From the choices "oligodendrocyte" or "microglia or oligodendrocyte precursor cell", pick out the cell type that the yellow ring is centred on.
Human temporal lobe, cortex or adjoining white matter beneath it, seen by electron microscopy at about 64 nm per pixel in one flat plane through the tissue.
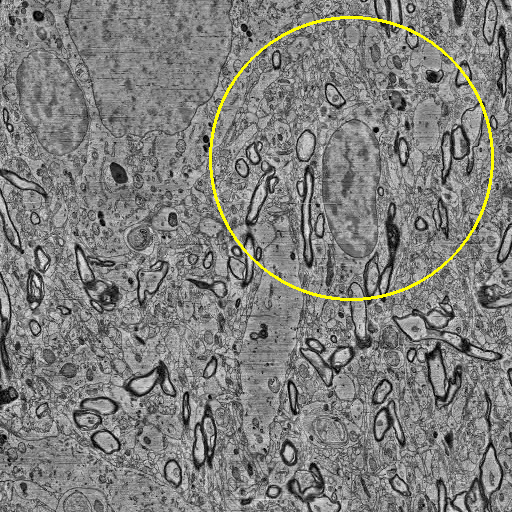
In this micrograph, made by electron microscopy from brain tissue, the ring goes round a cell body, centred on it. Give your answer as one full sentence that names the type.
The yellow ring is centred on a microglial cell or oligodendrocyte precursor cell, whose cell body it encircles in the picture.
